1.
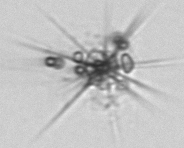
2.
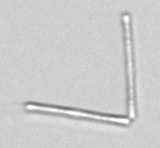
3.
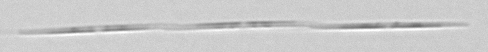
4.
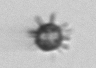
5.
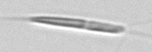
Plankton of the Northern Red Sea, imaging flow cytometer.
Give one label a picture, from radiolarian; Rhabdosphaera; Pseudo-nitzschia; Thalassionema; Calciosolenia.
Picture 1: radiolarian
Picture 2: Thalassionema
Picture 3: Pseudo-nitzschia
Picture 4: Rhabdosphaera
Picture 5: Calciosolenia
